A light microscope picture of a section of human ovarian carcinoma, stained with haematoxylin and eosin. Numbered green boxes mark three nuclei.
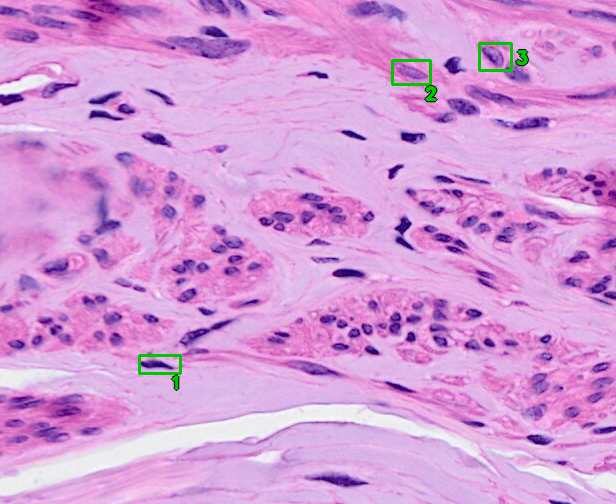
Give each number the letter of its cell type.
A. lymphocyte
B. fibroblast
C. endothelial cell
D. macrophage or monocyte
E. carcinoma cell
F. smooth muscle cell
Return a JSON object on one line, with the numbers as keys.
{"1": "B", "2": "F", "3": "C"}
